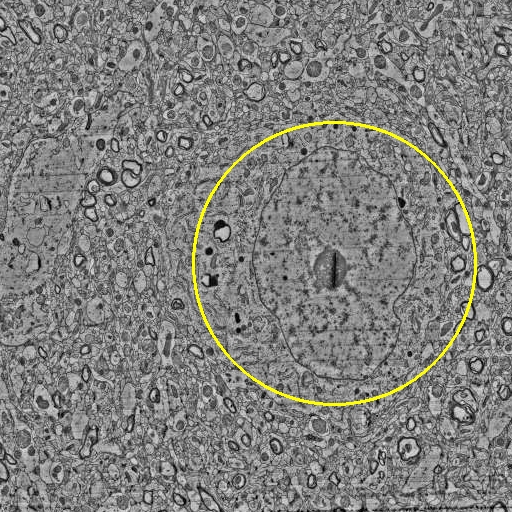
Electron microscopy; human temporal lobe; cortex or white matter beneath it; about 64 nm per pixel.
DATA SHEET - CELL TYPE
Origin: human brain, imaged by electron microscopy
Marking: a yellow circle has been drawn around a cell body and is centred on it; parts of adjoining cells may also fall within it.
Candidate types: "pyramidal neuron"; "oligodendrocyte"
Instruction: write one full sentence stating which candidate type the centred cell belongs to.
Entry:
The cell body at the centre of the yellow ring in this micrograph belongs to a pyramidal neuron.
